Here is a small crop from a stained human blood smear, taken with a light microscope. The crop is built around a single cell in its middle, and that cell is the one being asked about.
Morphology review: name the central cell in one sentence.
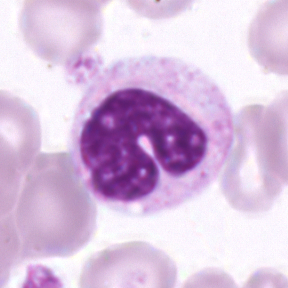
The cell found in the middle of this crop is a band neutrophil.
